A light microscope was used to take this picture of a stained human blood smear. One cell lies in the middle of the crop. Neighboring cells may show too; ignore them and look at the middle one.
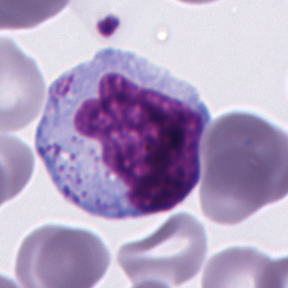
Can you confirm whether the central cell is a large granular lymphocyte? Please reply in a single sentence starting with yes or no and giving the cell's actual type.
Yes, what sits in the centre of the crop is a large granular lymphocyte.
